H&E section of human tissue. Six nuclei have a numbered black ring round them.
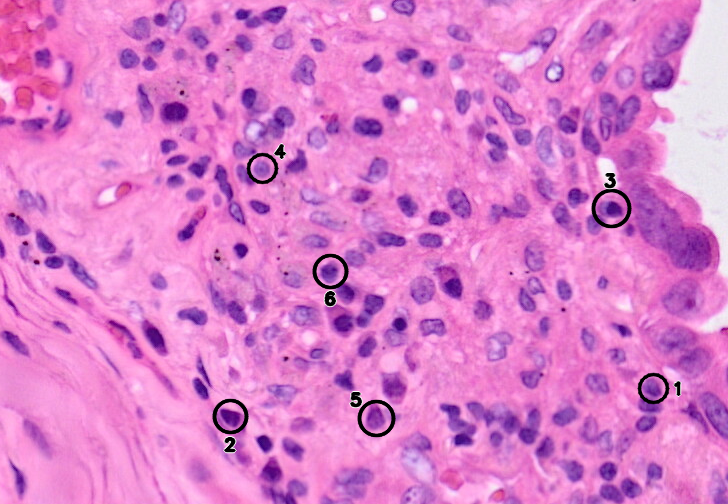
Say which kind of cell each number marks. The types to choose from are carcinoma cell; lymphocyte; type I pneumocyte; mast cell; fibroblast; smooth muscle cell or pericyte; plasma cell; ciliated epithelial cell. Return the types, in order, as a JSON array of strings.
["lymphocyte", "plasma cell", "lymphocyte", "lymphocyte", "plasma cell", "lymphocyte"]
